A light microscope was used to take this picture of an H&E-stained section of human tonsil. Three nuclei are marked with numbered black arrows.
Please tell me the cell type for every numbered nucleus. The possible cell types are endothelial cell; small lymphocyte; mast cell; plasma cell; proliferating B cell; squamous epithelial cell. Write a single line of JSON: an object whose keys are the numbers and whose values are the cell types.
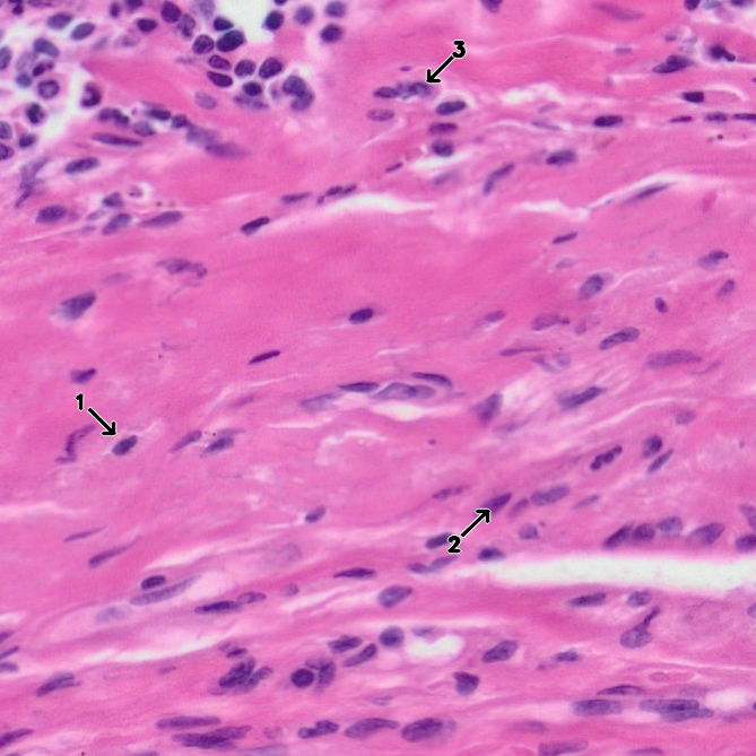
{"1": "mast cell", "2": "endothelial cell", "3": "mast cell"}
